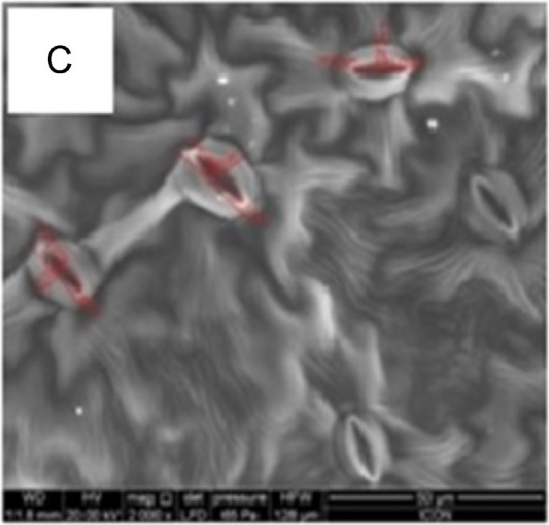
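The epidermal cells around them have strongly wavy, interlocking outlines, and fine cuticular striations run across their surfaces, some radiating toward the stomata. No specially shaped subsidiary cells set the stomata apart from their neighbours.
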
